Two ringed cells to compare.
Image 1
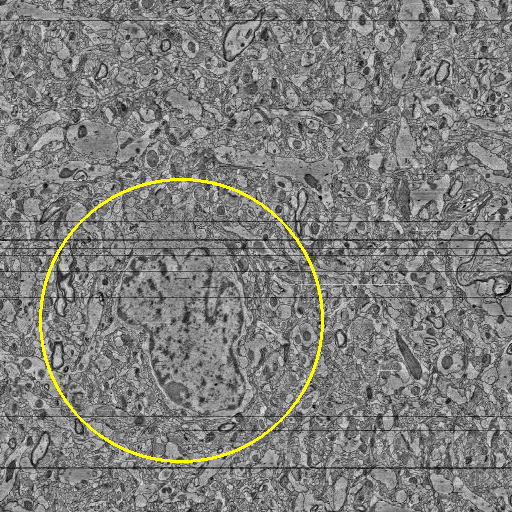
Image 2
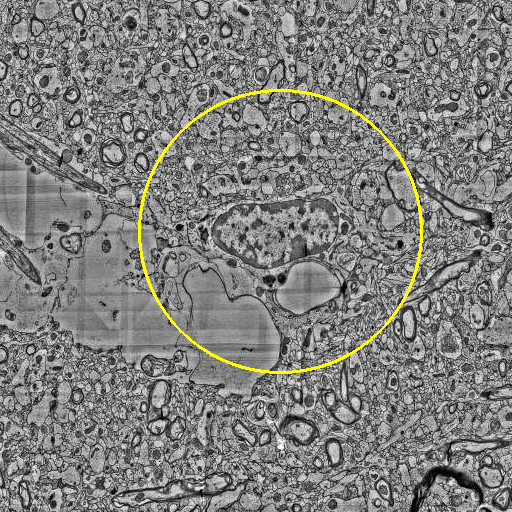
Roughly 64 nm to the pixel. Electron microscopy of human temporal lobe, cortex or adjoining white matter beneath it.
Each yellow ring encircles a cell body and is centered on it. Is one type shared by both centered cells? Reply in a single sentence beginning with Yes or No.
Yes, a single type is shared by the two cells at the centers of the rings.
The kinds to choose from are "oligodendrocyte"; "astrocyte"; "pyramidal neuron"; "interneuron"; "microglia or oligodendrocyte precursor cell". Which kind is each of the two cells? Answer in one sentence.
Each cell at the centre of a ring is a microglial cell or oligodendrocyte precursor cell.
